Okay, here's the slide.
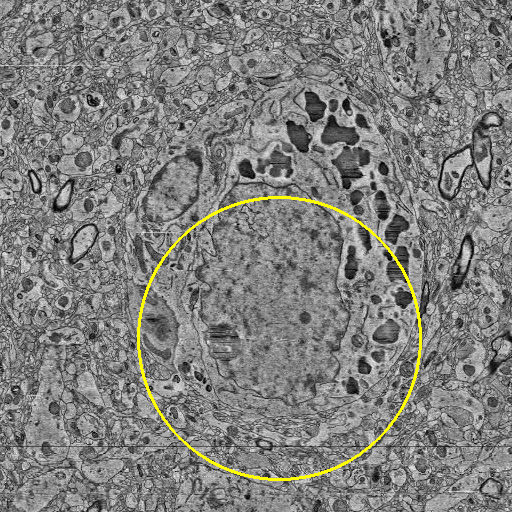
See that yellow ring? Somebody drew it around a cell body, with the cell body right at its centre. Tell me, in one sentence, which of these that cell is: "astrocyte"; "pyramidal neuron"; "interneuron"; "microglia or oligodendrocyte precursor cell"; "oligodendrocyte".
The cell in the middle of the ring is an interneuron.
